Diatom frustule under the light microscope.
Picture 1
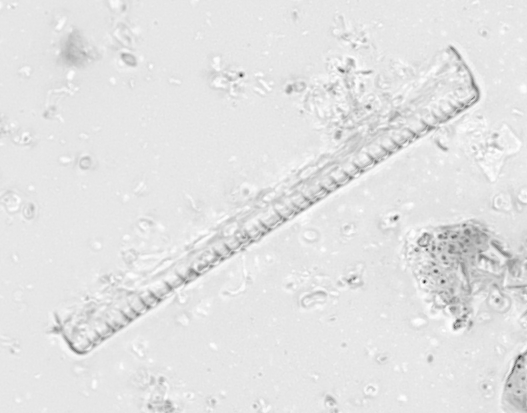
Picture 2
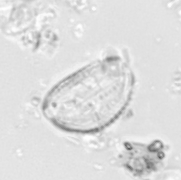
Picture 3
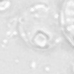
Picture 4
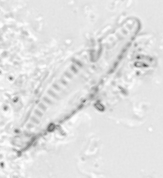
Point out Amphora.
That is picture 2.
